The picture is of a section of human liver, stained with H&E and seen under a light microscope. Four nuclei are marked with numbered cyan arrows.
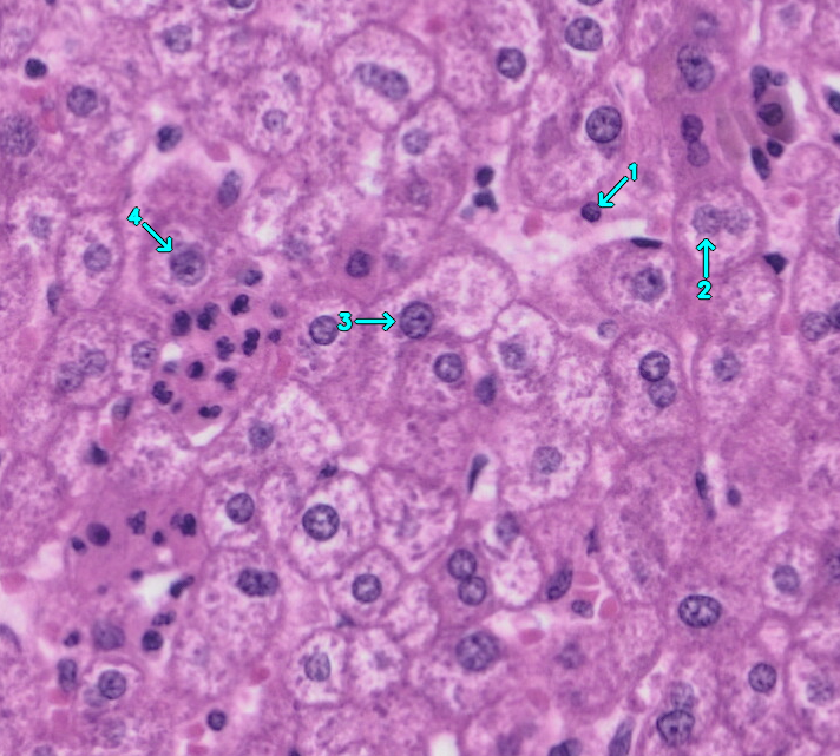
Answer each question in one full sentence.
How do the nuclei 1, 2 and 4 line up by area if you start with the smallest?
From smallest to largest, the order is 1, 2, 4.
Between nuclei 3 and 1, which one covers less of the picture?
With nucleus 3 about 2.5 times its size, nucleus 1 is the smaller of the two.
